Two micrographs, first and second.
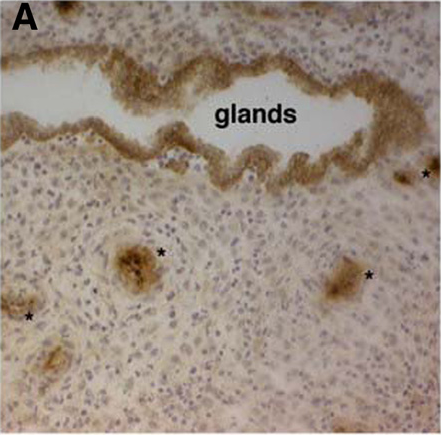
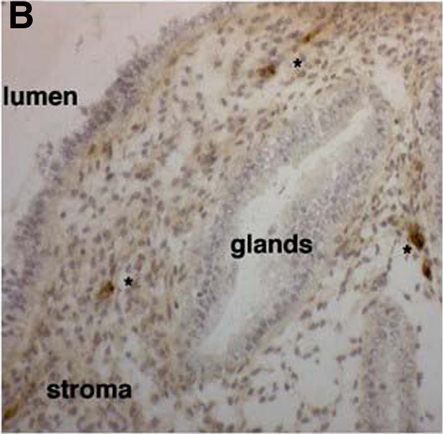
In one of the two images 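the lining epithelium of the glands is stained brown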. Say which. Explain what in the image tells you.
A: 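Second image: the gland and surface epithelium show blue nuclei with little or no brown. First image: the epithelium lining the gland is a thick band of strong brown stain.
The first image.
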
